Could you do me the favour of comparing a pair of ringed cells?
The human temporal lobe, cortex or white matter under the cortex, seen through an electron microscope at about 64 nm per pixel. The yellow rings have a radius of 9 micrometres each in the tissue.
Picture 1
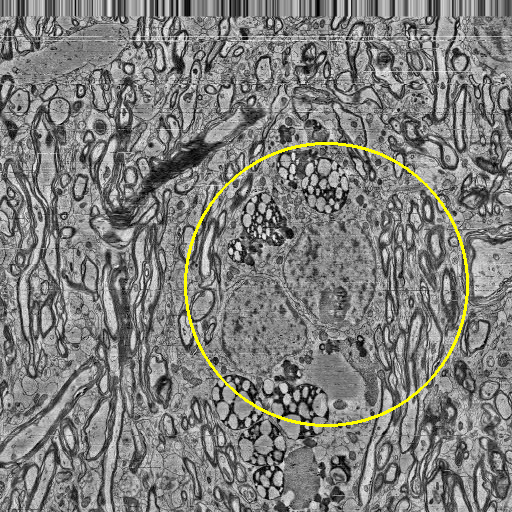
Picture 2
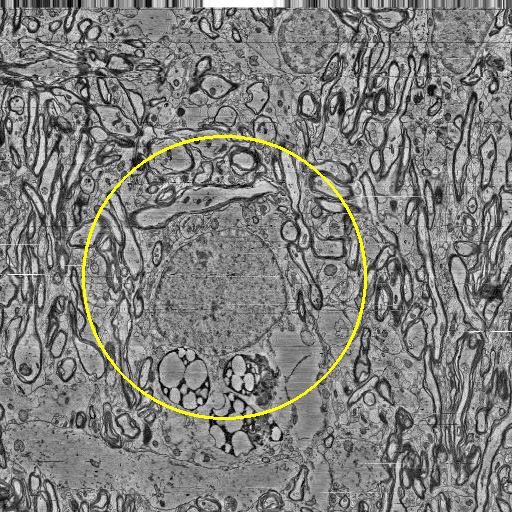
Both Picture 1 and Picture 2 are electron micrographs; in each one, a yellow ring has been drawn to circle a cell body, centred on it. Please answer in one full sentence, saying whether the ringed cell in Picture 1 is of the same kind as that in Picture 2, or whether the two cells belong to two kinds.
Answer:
The ringed cell in Picture 1 is of the same kind as that in Picture 2.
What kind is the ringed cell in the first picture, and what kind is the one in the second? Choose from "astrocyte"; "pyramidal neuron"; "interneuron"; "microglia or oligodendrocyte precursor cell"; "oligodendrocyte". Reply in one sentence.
In each of the two pictures, the ringed cell is an astrocyte.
